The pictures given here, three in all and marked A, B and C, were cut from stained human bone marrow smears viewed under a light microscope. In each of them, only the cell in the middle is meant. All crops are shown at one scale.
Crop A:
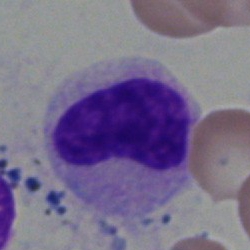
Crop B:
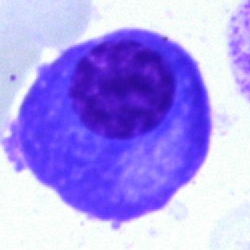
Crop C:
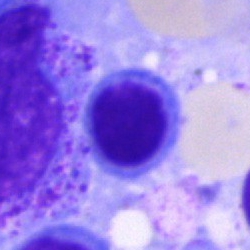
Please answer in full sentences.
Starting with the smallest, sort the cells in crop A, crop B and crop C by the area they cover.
Smallest first: C, A, B.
